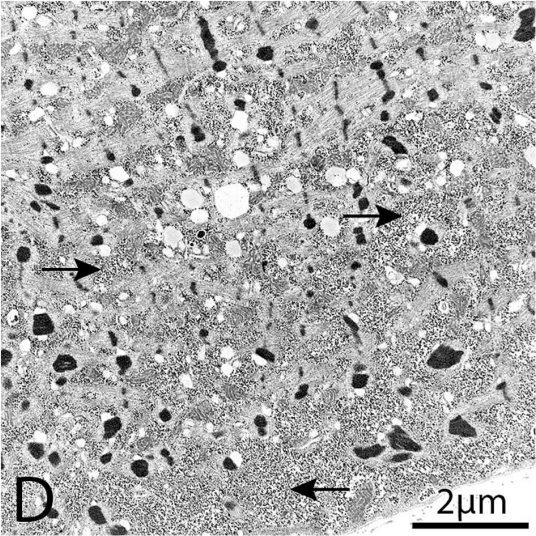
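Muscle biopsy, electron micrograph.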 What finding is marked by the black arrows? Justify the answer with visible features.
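The arrows point to areas of fine dark granules. The granular areas lie between myofilament bundles. On this evidence: glycogen accumulation.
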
